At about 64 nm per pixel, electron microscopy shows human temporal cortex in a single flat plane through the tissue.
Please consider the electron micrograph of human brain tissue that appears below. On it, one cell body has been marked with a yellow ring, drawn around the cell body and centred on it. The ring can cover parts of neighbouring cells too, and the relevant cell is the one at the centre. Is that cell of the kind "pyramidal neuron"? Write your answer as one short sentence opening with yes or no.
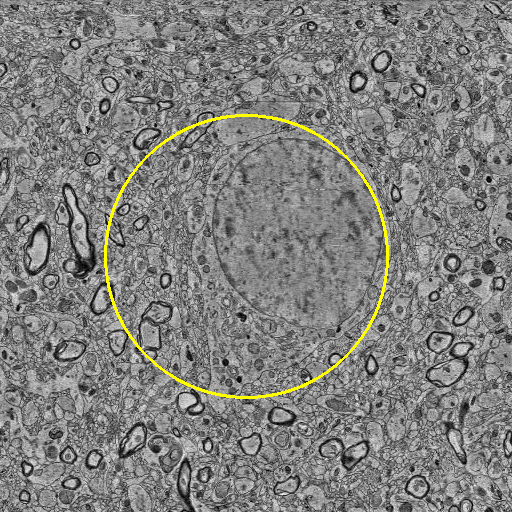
No, it is of another kind.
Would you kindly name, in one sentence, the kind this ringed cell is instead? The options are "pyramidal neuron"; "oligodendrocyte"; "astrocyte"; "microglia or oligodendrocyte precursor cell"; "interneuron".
The cell at the ring centre is an interneuron.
